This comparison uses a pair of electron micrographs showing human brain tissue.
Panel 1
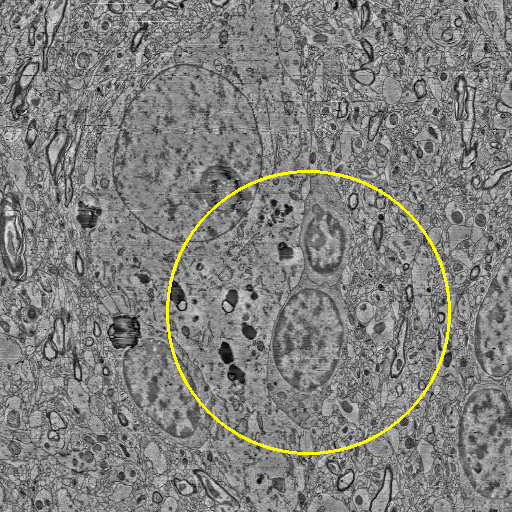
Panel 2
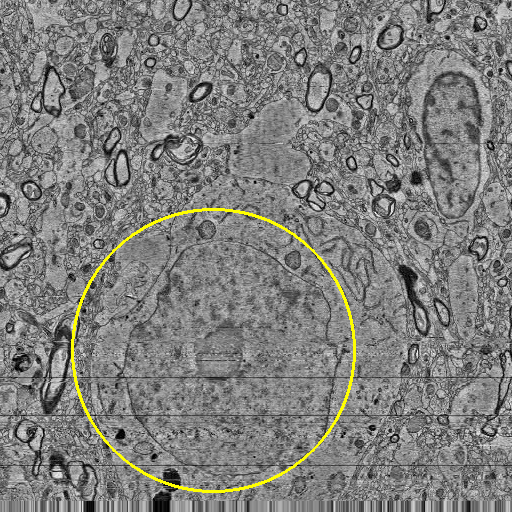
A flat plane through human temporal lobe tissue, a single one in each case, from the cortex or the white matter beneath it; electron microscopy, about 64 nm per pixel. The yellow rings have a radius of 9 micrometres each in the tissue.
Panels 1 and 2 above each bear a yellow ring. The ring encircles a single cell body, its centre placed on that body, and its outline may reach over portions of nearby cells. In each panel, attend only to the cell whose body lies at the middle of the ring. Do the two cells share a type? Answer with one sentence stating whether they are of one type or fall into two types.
In Panel 1 and Panel 2, the cells at the centres of the rings fall into two types.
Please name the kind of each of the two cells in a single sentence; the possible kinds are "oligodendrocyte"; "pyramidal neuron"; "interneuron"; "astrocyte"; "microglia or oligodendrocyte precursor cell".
In the first picture the ring is centred on an oligodendrocyte, and in the second on a pyramidal neuron.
